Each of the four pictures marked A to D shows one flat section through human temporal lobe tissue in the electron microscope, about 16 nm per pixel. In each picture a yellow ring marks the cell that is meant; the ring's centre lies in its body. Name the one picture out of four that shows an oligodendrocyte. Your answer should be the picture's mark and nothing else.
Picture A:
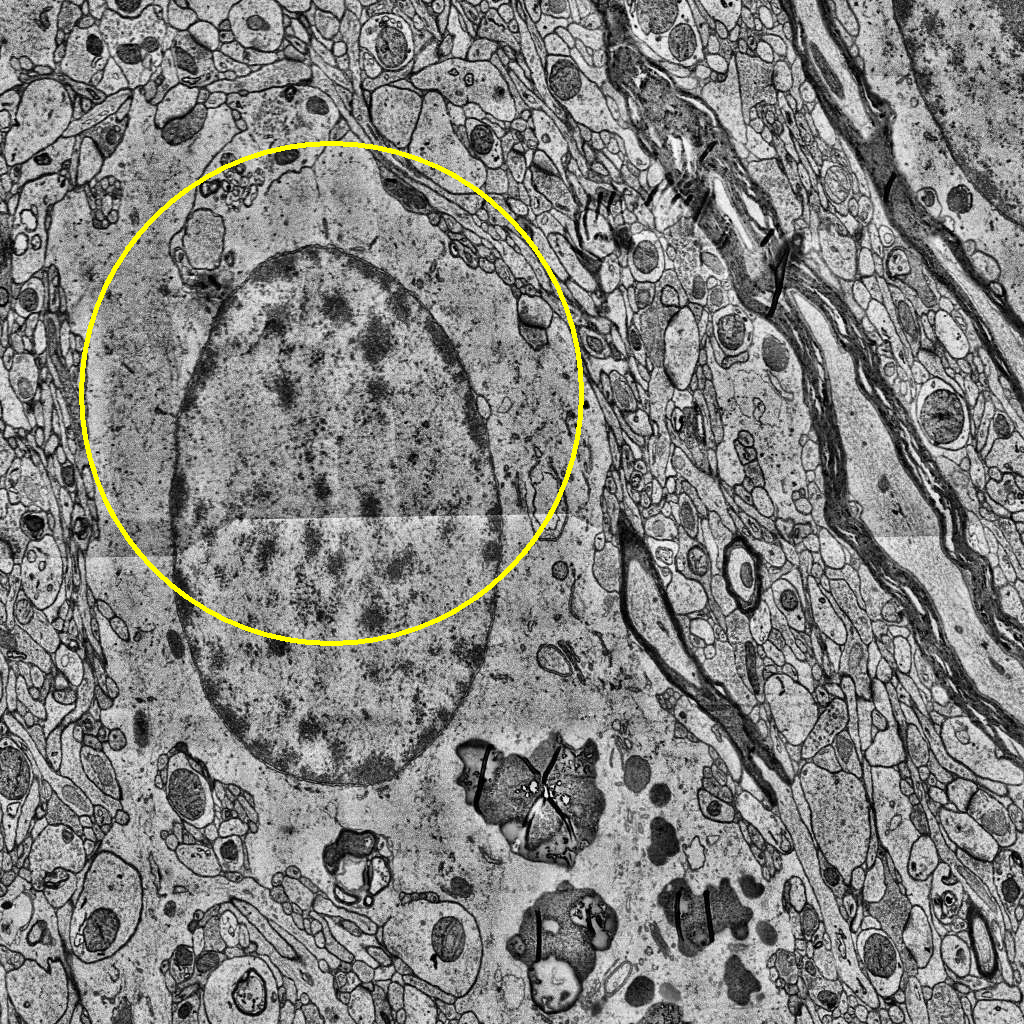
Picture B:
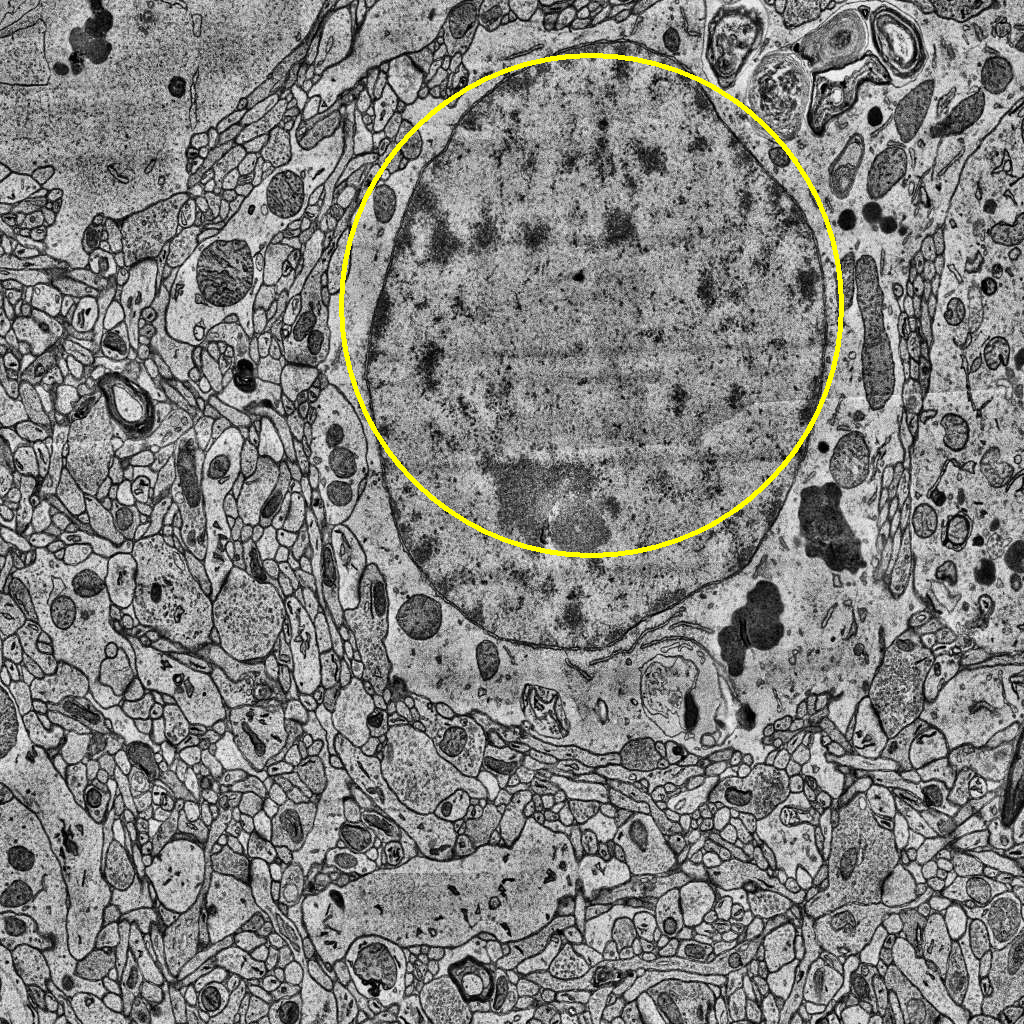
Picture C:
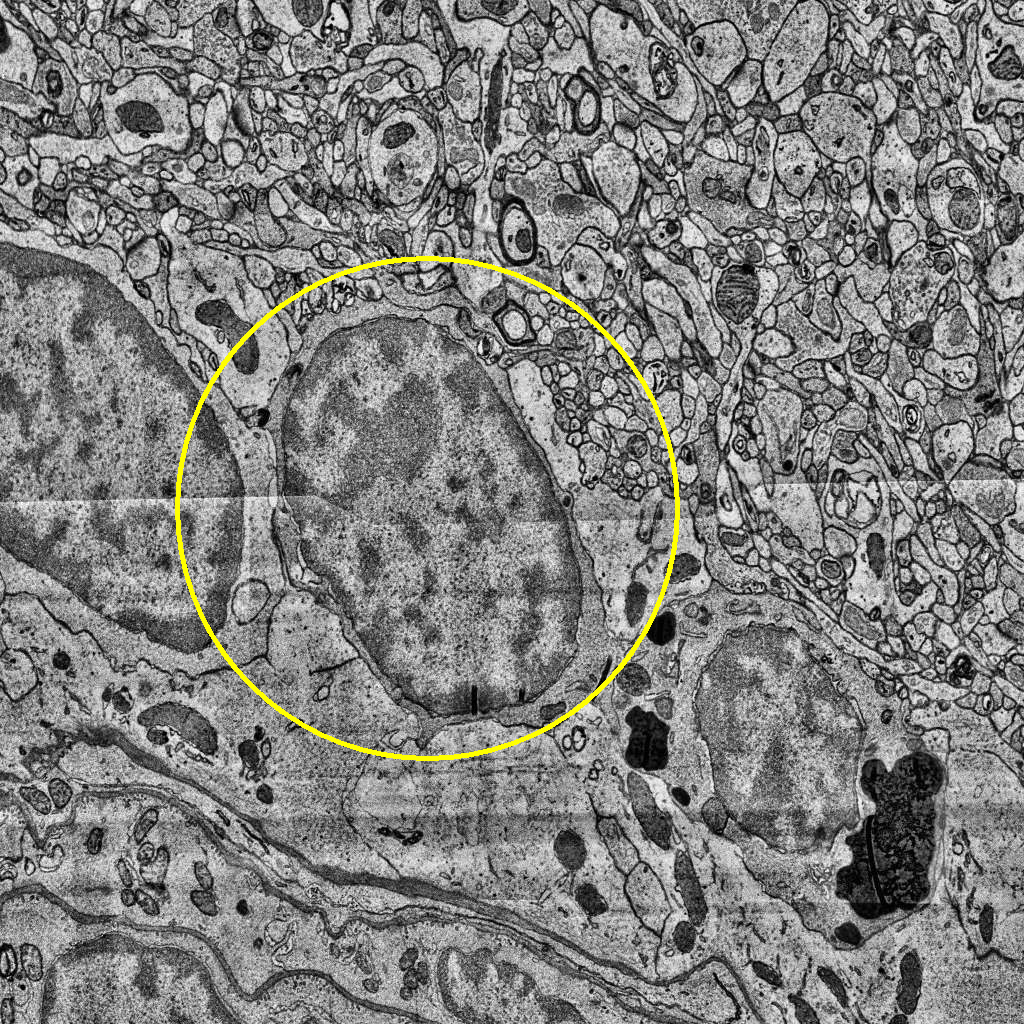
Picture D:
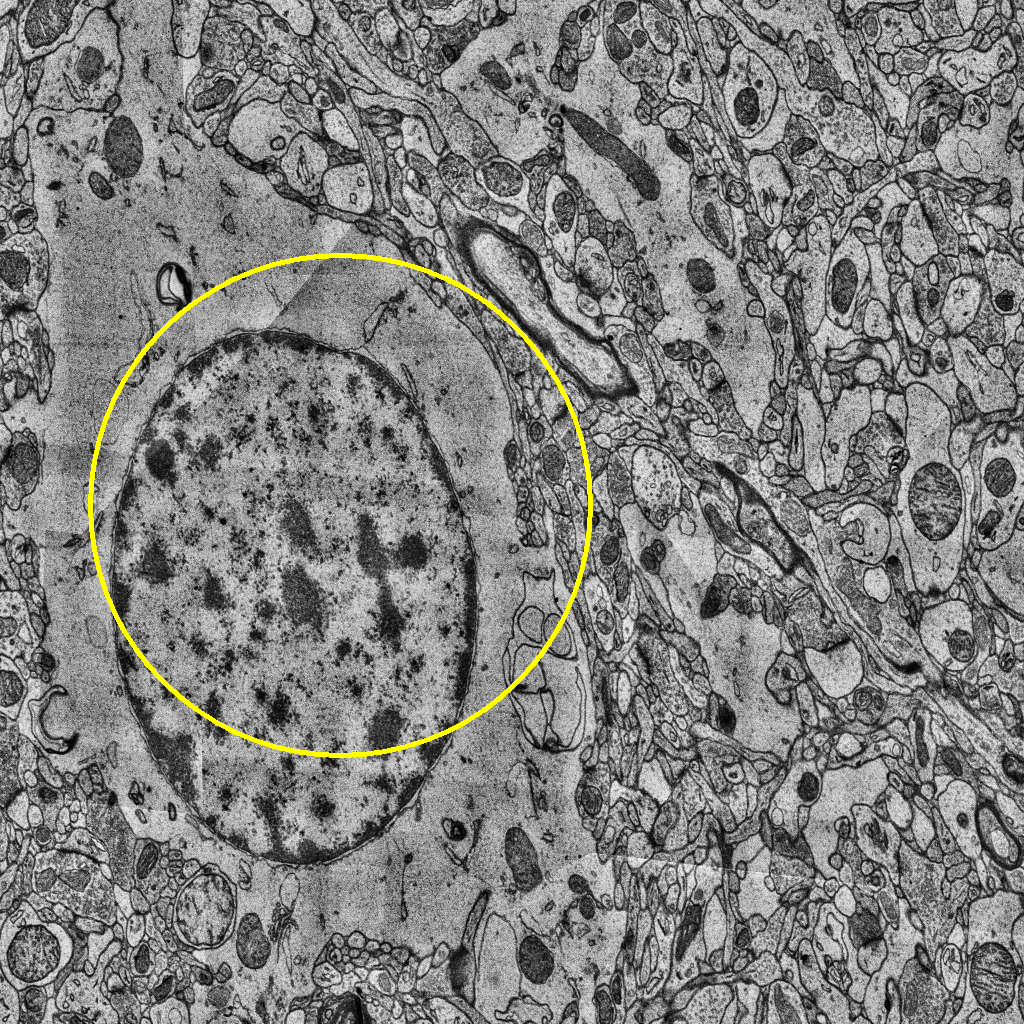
C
